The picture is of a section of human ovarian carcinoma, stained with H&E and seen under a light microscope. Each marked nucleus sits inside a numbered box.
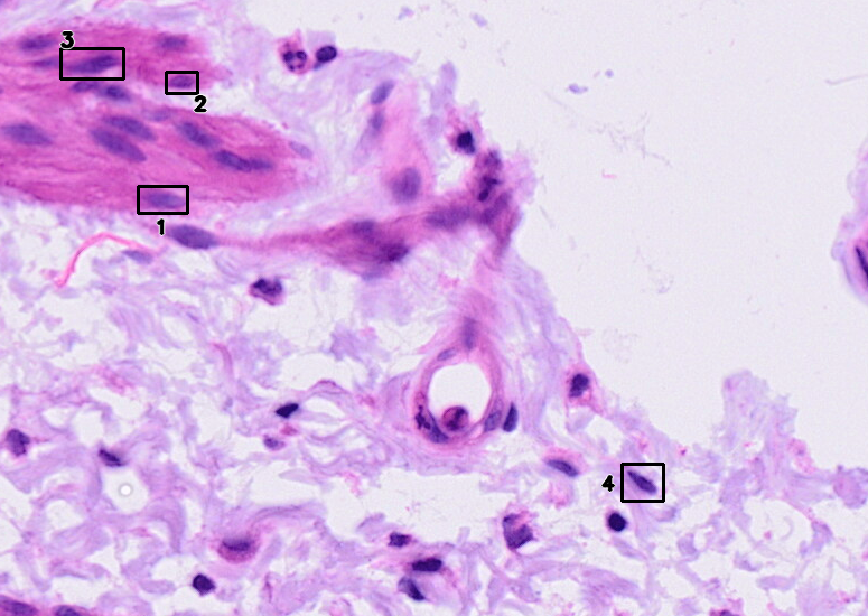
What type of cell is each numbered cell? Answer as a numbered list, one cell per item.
1. smooth muscle cell
2. smooth muscle cell
3. smooth muscle cell
4. fibroblast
